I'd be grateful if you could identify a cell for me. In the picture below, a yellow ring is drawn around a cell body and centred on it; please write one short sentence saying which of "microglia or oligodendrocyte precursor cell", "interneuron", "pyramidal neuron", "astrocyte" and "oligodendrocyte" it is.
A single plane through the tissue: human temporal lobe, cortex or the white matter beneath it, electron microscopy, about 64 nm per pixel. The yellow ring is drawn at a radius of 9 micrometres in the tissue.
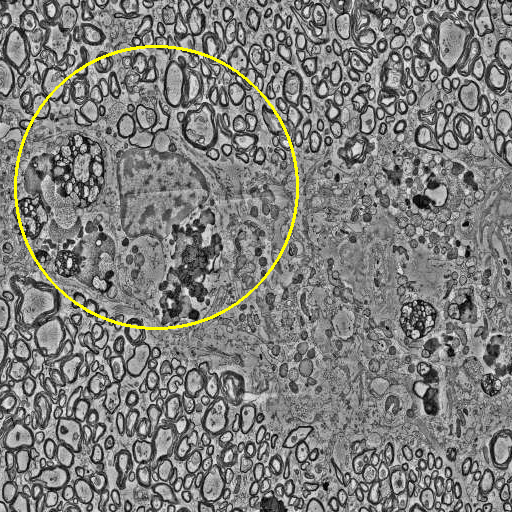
The cell under the ring's centre is a microglial cell or oligodendrocyte precursor cell.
